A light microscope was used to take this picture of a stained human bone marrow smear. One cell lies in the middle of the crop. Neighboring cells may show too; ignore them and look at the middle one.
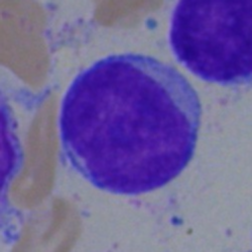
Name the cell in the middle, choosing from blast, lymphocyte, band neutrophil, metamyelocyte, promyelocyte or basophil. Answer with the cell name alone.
blast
